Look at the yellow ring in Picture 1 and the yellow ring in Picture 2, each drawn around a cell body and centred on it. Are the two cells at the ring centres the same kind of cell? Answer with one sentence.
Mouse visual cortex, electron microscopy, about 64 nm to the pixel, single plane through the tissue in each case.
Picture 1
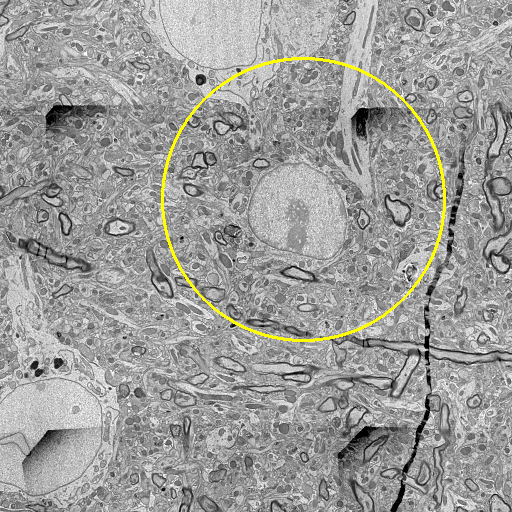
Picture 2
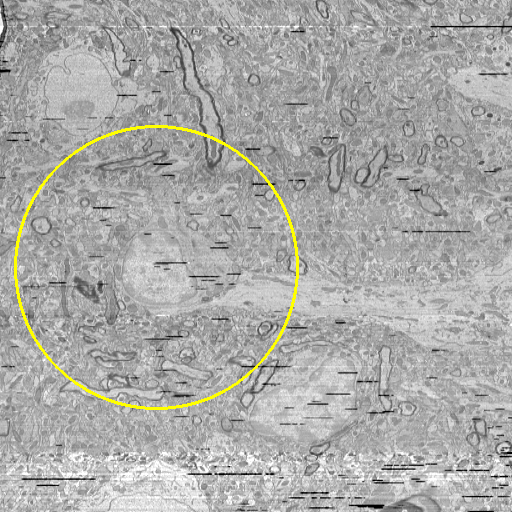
No, they are cells of two kinds.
